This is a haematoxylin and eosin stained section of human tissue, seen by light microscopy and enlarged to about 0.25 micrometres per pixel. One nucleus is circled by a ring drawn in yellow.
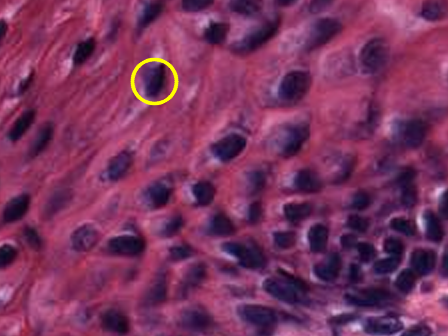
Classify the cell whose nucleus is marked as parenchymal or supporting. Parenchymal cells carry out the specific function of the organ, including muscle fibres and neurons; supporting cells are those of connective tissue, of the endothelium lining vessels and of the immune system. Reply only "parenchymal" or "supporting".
parenchymal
